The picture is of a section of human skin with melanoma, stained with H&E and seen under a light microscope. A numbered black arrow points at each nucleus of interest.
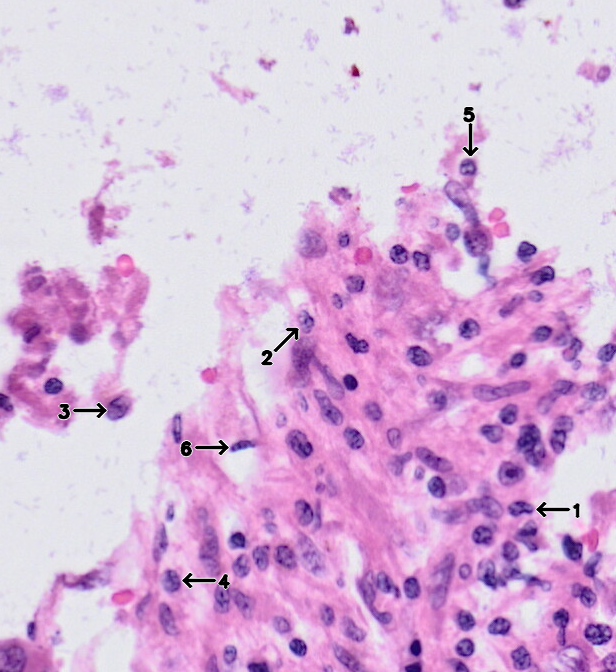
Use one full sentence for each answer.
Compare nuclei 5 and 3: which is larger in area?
Of the two, number 3 is bigger and takes up about 1.5 times the area of number 5.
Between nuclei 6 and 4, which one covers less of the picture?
It is nucleus 6; nucleus 4 has about 1.5 times its area.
